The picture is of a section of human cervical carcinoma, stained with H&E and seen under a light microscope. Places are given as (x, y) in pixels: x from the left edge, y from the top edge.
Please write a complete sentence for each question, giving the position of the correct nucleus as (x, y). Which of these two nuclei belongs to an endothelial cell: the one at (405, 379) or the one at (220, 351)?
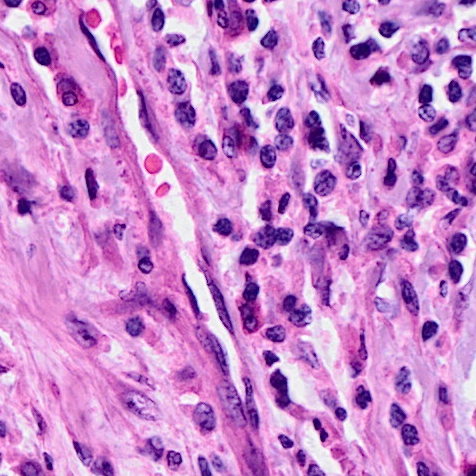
Answering which nucleus it is: the one at (220, 351), belonging to an endothelial cell.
